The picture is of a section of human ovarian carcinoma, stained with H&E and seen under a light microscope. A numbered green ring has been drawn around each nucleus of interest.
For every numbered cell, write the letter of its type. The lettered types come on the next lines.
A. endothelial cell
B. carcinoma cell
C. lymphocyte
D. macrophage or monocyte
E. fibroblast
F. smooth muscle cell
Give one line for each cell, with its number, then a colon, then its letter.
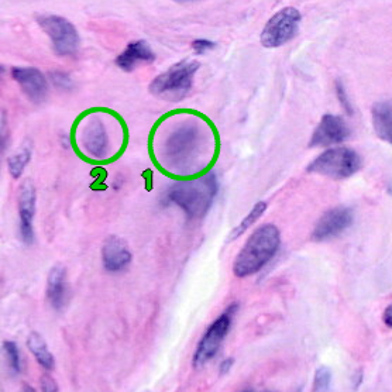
1: E
2: F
